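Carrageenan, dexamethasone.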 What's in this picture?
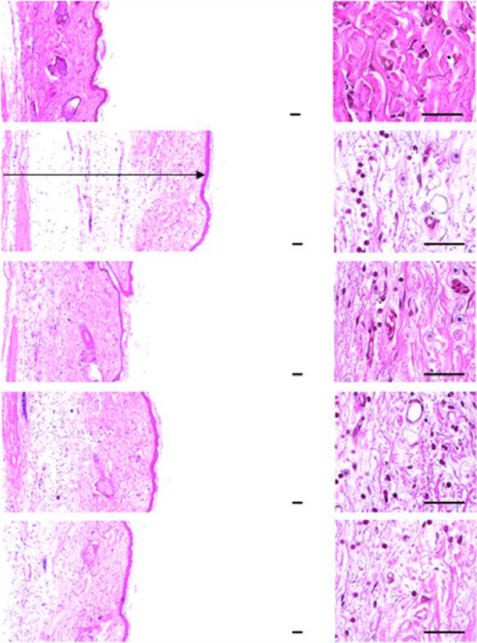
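A thin stratified pink epidermis runs along the right edge, over the dermis. In the top row the dermis is compact, with thick interwoven pink collagen bundles and few nuclei. In the second row the section is much wider, and the dermis is pale and loose, with fibres pulled apart by clear spaces and scattered dark nuclei between them. The lower rows show intermediate widths, with loosened dermis and scattered small dark nuclei.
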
